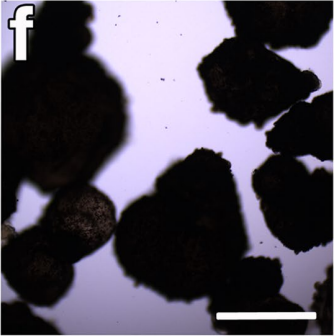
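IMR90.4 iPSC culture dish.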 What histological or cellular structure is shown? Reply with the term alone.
spheroid clumps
